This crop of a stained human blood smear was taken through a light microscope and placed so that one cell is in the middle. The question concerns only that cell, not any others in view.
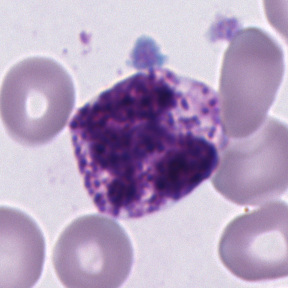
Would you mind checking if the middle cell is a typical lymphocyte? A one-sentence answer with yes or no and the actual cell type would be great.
No, the cell in the middle is a basophil, not a typical lymphocyte.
